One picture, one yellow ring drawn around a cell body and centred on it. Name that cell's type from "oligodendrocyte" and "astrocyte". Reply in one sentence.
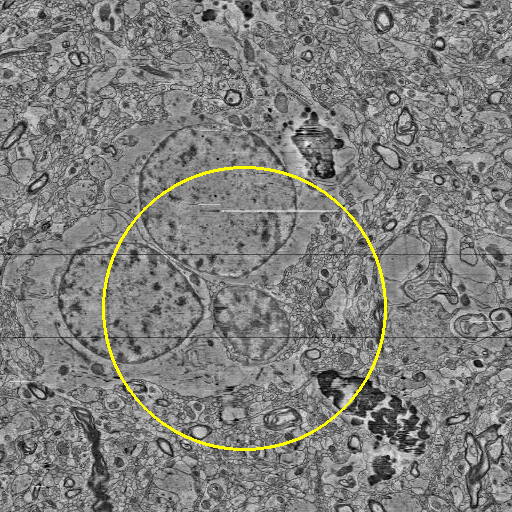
Centred in the ring is an oligodendrocyte.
